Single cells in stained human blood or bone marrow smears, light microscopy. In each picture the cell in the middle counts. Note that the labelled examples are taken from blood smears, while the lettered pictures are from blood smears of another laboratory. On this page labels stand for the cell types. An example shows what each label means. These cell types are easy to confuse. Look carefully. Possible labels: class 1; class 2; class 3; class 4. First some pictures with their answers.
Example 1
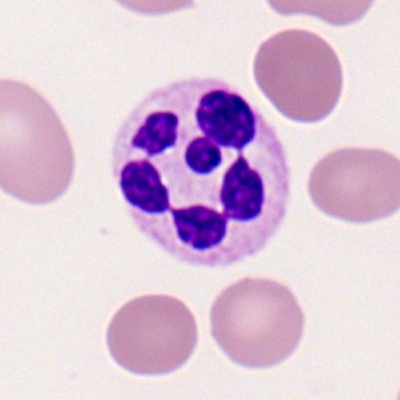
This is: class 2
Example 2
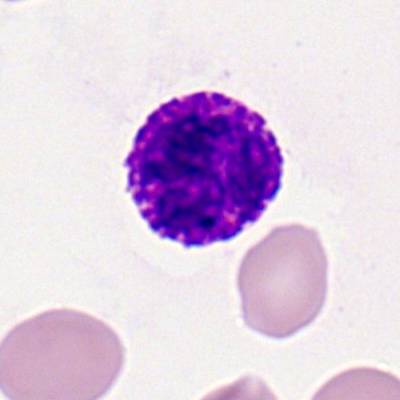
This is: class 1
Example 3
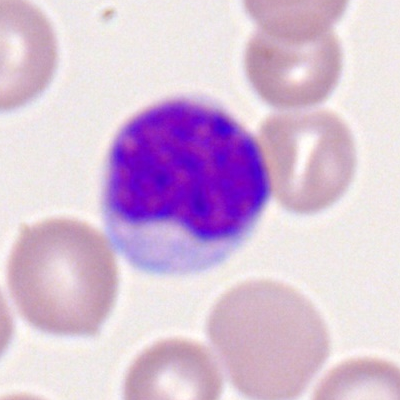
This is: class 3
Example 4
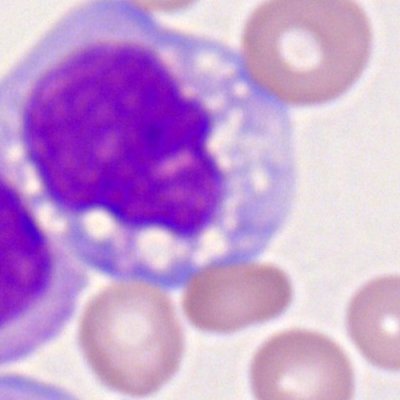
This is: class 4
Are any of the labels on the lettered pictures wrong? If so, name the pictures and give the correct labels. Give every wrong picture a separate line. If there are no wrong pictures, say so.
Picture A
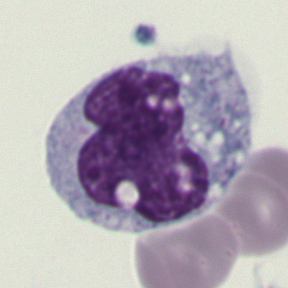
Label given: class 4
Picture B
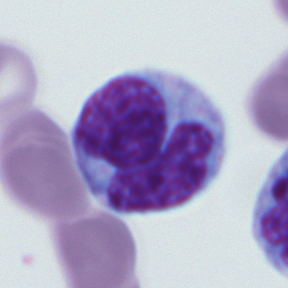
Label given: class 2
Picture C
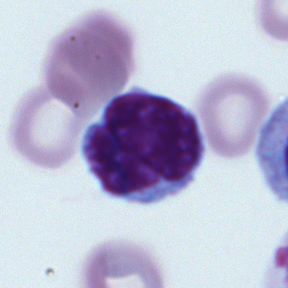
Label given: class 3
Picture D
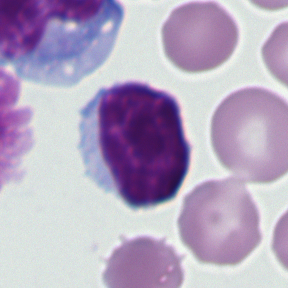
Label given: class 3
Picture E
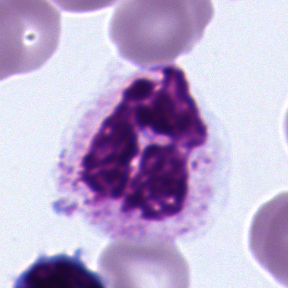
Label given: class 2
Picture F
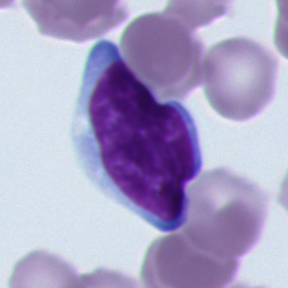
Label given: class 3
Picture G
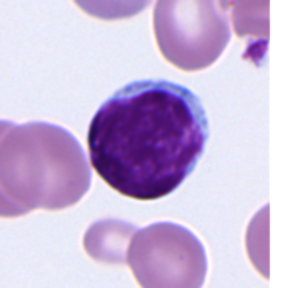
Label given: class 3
B: change class 2 to class 4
